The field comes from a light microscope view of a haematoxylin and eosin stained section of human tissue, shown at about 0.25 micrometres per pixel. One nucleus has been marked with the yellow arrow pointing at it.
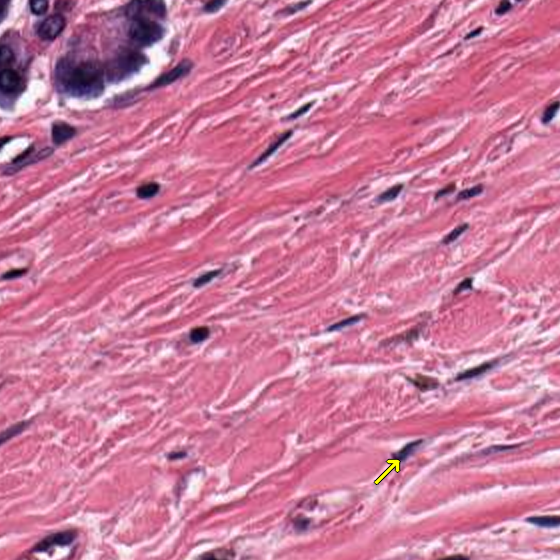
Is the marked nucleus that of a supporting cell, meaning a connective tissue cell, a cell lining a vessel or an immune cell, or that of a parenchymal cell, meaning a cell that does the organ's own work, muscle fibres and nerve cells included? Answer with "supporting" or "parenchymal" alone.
supporting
